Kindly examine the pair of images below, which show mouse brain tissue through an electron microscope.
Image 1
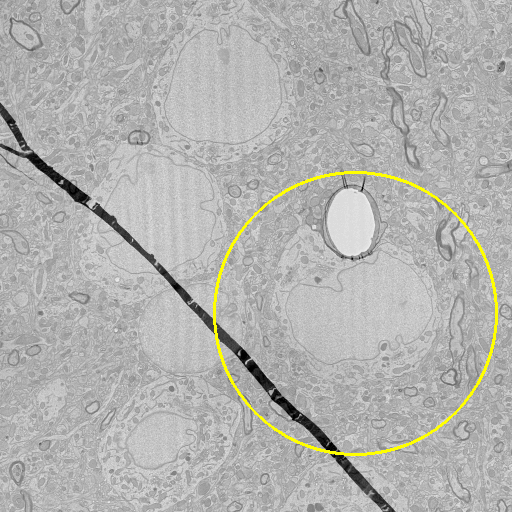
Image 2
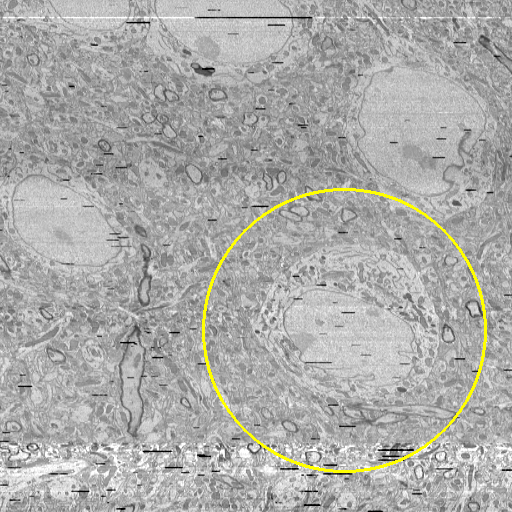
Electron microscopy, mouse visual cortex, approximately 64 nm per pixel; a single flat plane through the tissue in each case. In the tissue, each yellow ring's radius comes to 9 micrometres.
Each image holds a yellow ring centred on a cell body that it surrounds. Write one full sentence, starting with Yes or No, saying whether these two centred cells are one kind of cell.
No, the cells at the centres of the yellow rings belong to two kinds of cell.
